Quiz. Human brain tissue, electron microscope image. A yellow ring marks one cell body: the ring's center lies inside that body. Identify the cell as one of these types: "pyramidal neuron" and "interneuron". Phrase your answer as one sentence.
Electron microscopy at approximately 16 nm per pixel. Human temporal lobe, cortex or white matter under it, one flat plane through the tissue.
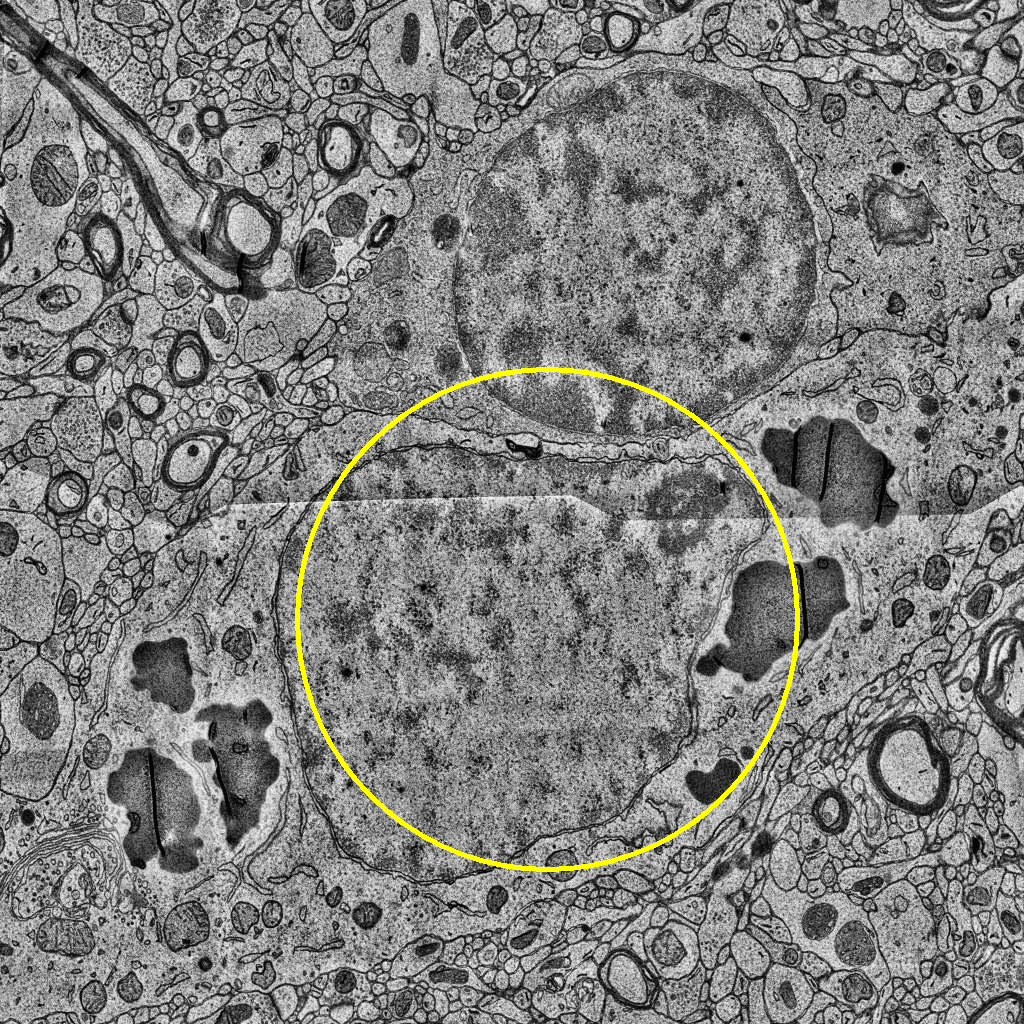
At the center of the ring sits an interneuron.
